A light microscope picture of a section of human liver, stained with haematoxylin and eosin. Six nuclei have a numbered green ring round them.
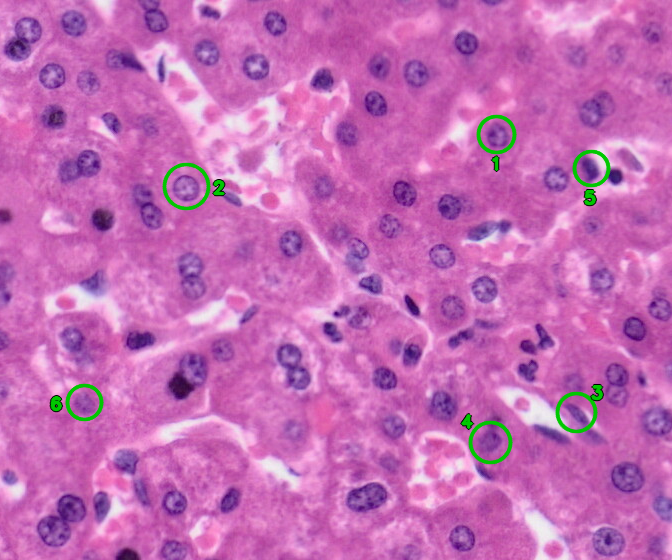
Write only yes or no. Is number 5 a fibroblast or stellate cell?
yes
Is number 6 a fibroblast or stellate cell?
no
